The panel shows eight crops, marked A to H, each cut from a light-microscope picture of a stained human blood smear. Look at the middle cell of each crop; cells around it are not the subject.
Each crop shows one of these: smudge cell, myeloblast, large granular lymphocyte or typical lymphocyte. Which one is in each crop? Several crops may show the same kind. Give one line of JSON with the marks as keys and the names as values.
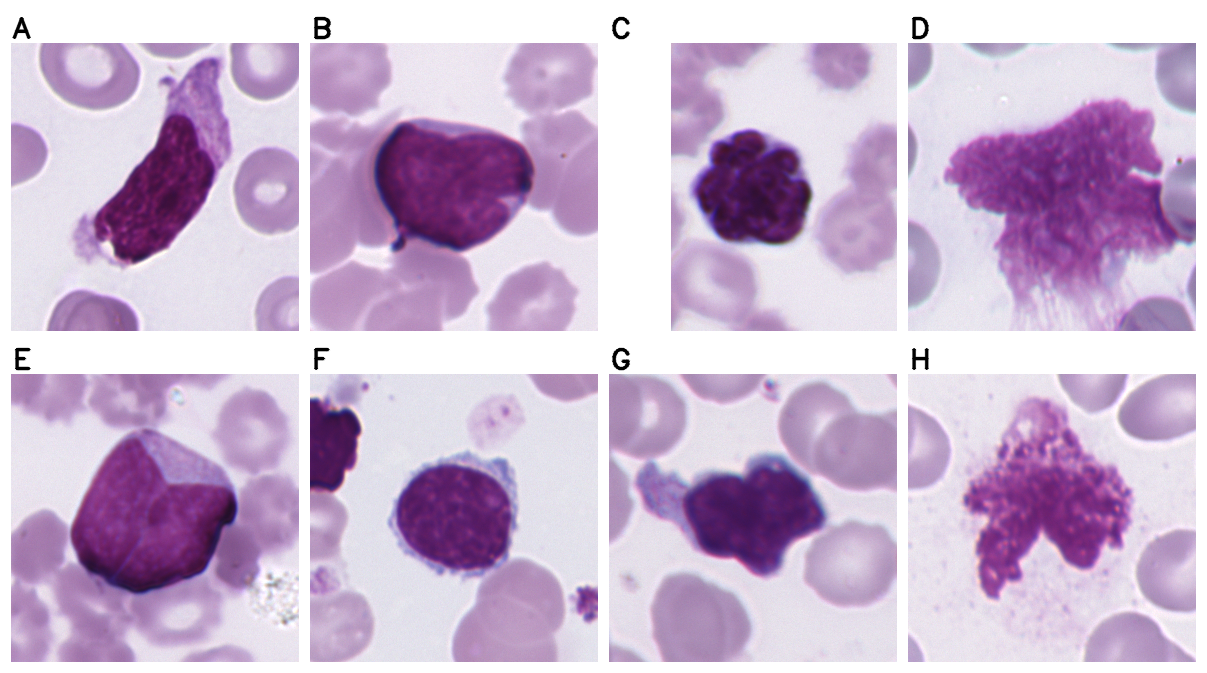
{"A": "large granular lymphocyte", "B": "myeloblast", "C": "typical lymphocyte", "D": "smudge cell", "E": "myeloblast", "F": "typical lymphocyte", "G": "typical lymphocyte", "H": "smudge cell"}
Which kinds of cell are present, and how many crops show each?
typical lymphocyte: 3
myeloblast: 2
smudge cell: 2
large granular lymphocyte: 1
